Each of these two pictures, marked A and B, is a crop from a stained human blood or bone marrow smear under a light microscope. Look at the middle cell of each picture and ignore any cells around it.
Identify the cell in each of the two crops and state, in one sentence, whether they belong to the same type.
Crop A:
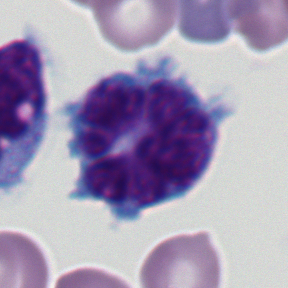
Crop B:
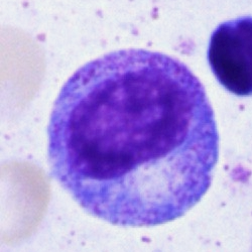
No, just to correct that: crop A shows a monocyte, crop B shows a promyelocyte.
